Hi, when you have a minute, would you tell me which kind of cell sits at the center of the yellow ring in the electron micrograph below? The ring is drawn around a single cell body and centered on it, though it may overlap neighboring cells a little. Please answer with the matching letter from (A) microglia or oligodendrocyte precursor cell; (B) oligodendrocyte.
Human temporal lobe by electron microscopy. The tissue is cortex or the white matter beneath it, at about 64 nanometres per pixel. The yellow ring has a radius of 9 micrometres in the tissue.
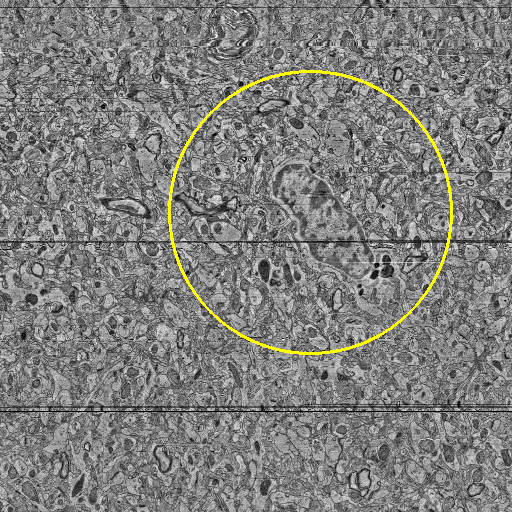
A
